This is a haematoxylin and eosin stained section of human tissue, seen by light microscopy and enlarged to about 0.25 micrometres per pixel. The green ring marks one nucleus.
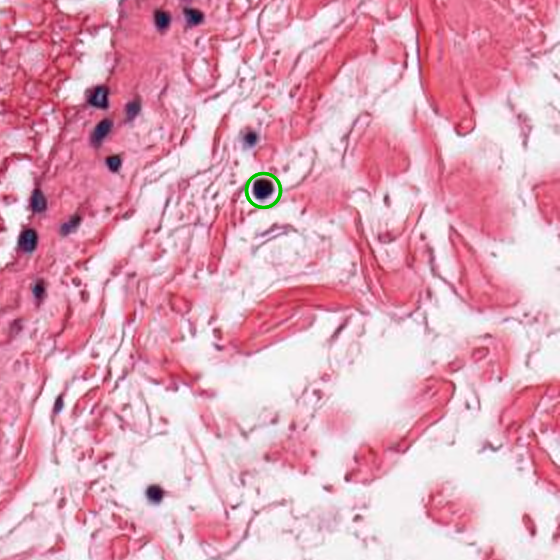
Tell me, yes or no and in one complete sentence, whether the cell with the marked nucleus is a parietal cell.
No, the nucleus that is marked belongs to a supporting cell rather than to a parietal cell.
